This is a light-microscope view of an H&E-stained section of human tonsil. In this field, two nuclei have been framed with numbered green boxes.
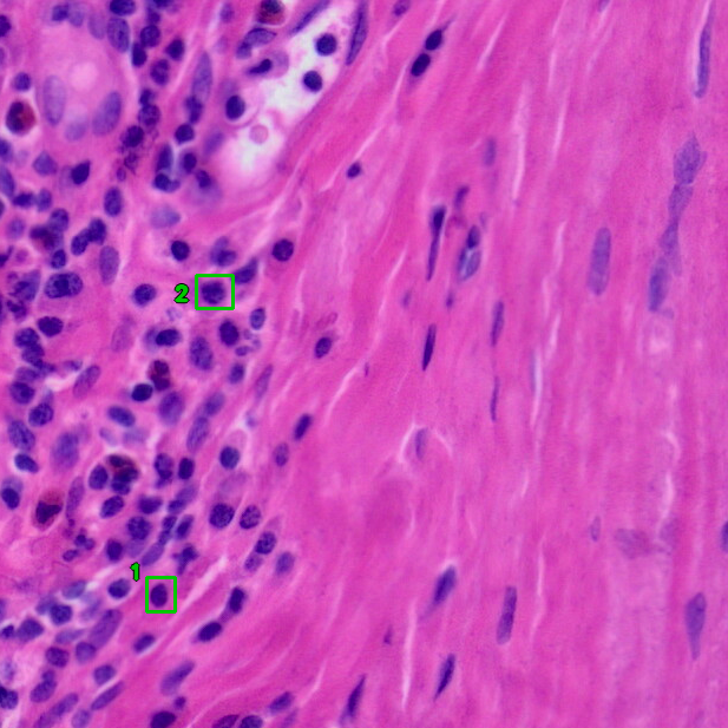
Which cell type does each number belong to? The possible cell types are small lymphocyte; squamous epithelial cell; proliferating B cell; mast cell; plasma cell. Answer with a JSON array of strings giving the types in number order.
["mast cell", "plasma cell"]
